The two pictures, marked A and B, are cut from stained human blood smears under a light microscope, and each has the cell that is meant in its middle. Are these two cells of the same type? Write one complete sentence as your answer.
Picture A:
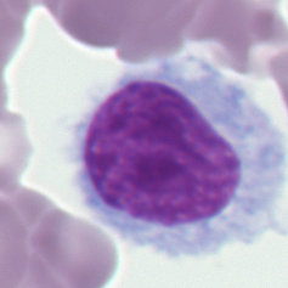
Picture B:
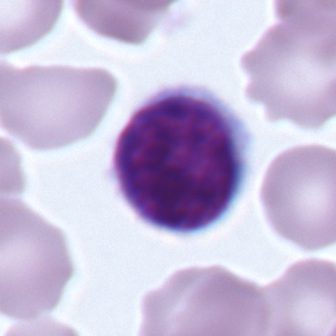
Yes, both are hairy cells.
